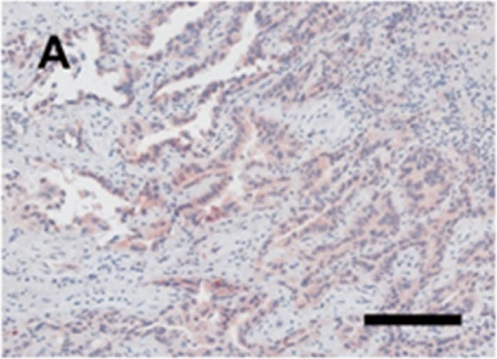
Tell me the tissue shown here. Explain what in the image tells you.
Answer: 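Irregular gland-like structures with lumina lined by atypical epithelial cells. The glands are set in a cellular stroma.
Answer: carcinoma glands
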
